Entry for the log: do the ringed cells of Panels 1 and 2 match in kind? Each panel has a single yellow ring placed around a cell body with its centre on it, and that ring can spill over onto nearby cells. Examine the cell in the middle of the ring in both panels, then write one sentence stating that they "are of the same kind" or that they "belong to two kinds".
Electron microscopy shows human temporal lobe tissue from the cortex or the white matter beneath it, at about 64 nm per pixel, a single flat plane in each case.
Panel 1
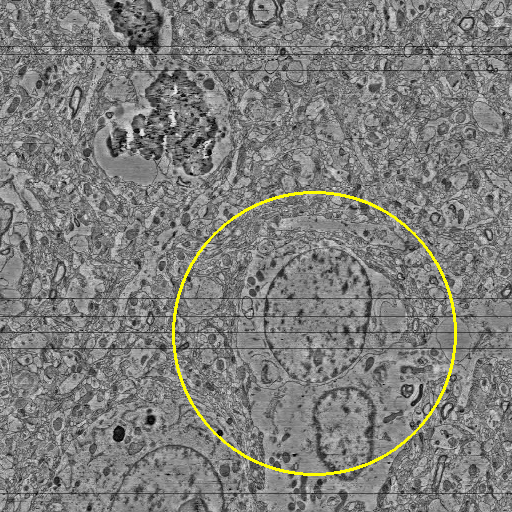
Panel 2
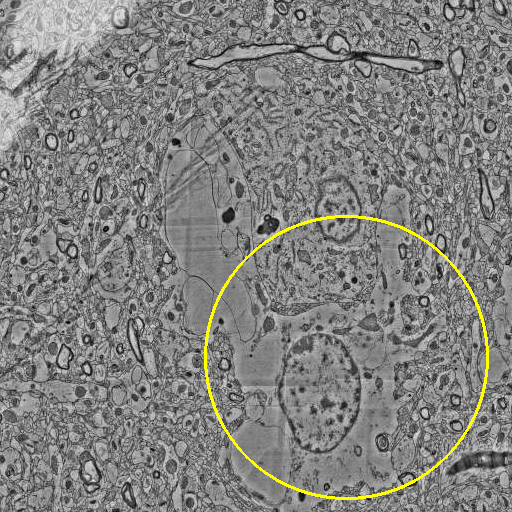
The centre cell of Panel 1's ring and that of Panel 2's ring are of the same kind.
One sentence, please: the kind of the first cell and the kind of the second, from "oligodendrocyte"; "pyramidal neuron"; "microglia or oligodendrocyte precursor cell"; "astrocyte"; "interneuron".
Each of the two rings surrounds an astrocyte.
